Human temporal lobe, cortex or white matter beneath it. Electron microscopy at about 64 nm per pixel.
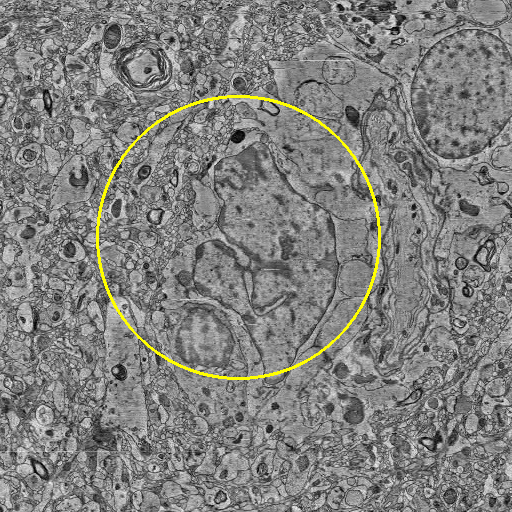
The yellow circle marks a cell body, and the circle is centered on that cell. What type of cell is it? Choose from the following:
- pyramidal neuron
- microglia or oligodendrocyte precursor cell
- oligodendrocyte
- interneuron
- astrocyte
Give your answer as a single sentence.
This cell body belongs to a microglial cell or oligodendrocyte precursor cell.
